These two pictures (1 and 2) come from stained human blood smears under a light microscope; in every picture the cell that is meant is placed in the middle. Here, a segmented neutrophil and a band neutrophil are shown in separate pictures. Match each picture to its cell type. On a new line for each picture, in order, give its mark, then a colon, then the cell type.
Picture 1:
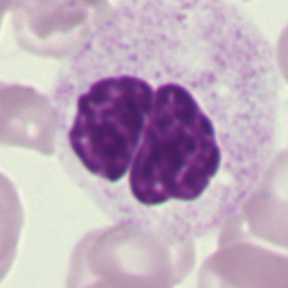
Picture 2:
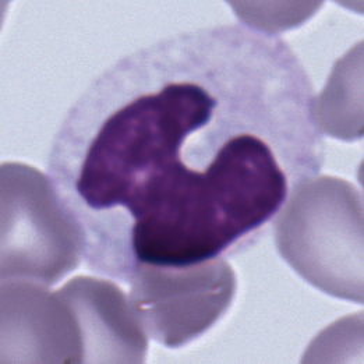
1: segmented neutrophil
2: band neutrophil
